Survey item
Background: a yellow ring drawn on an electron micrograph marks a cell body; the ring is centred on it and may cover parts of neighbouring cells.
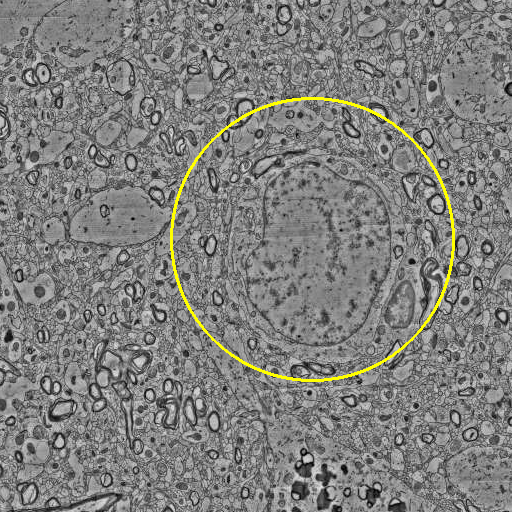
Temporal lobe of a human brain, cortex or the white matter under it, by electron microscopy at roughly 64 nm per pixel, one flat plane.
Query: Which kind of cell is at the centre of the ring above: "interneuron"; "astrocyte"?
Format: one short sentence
The cell in the middle of the ring is an interneuron.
